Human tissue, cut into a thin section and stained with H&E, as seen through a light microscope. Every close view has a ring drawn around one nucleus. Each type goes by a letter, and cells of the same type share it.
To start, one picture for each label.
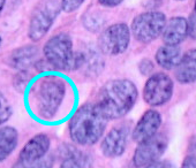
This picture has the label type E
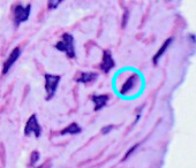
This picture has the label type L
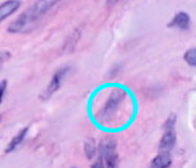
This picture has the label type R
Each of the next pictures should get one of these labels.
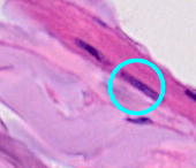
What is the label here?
type R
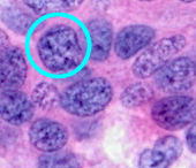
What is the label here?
type E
